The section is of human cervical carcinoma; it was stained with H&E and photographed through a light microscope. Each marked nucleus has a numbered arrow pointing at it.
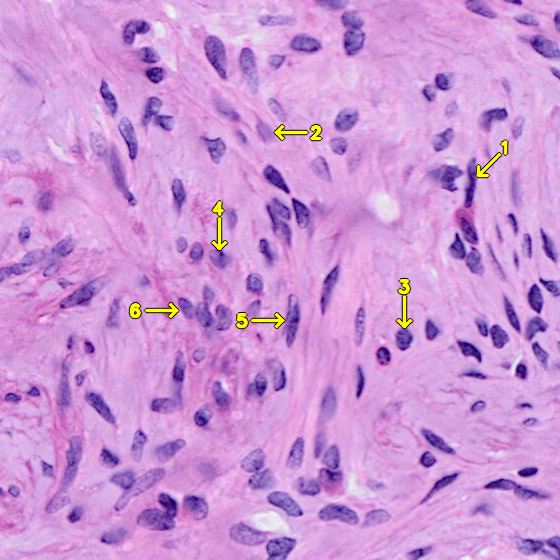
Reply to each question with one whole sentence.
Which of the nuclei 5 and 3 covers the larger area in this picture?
Nucleus 5 is larger, with an area about 1.5 times that of nucleus 3.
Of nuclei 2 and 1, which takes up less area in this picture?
It is nucleus 2; nucleus 1 has about 1.5 times its area.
